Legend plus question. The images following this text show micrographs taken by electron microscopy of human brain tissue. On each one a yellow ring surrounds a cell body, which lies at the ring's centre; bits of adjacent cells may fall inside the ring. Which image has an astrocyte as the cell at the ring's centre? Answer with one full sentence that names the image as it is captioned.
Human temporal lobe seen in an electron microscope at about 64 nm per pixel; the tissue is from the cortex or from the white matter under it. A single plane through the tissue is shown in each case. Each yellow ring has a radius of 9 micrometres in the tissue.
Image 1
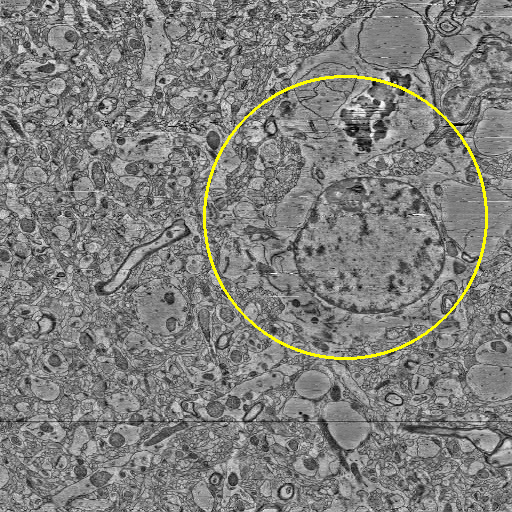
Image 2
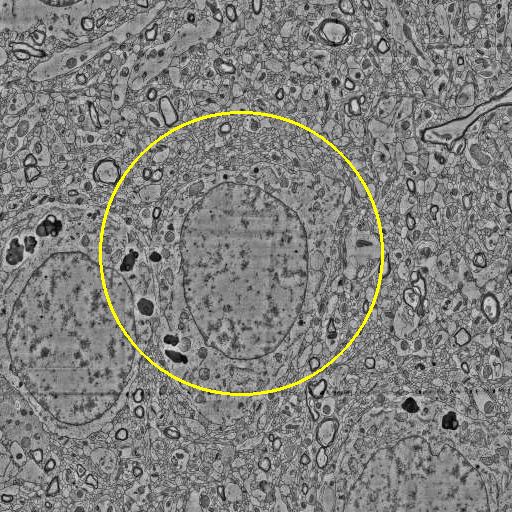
The centred cell that was asked for is the one in Image 1.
